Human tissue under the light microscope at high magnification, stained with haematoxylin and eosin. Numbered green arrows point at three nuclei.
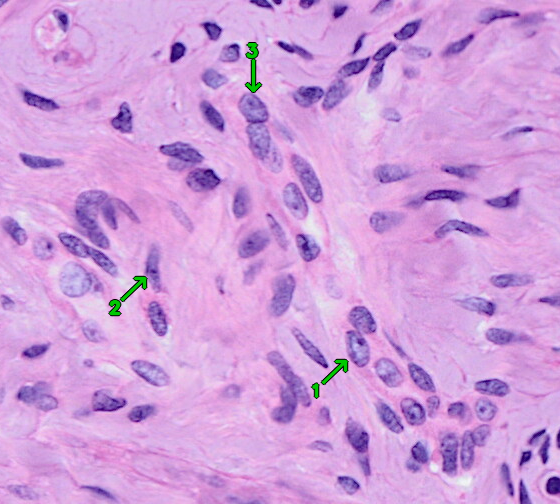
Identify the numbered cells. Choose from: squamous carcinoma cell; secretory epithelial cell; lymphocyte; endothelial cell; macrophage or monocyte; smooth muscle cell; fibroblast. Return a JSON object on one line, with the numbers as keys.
{"1": "endothelial cell", "2": "fibroblast", "3": "endothelial cell"}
